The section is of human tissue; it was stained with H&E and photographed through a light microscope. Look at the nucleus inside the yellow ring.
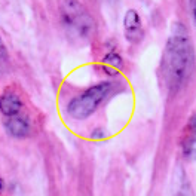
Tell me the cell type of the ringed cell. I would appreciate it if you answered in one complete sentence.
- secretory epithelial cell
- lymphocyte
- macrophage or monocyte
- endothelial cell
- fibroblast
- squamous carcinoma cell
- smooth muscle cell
In terms of identity, the ringed cell is a macrophage or monocyte.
